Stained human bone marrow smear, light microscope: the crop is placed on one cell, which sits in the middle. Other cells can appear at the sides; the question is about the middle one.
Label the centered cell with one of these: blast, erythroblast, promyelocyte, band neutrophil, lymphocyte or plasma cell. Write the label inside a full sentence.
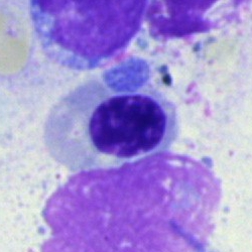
The middle position in this crop is taken by an erythroblast.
